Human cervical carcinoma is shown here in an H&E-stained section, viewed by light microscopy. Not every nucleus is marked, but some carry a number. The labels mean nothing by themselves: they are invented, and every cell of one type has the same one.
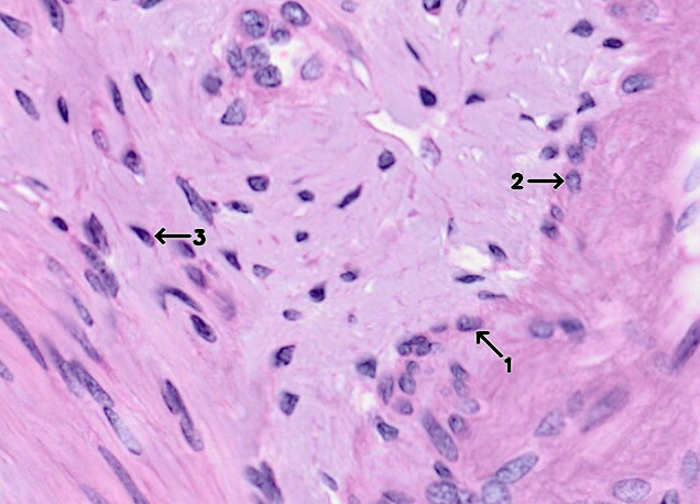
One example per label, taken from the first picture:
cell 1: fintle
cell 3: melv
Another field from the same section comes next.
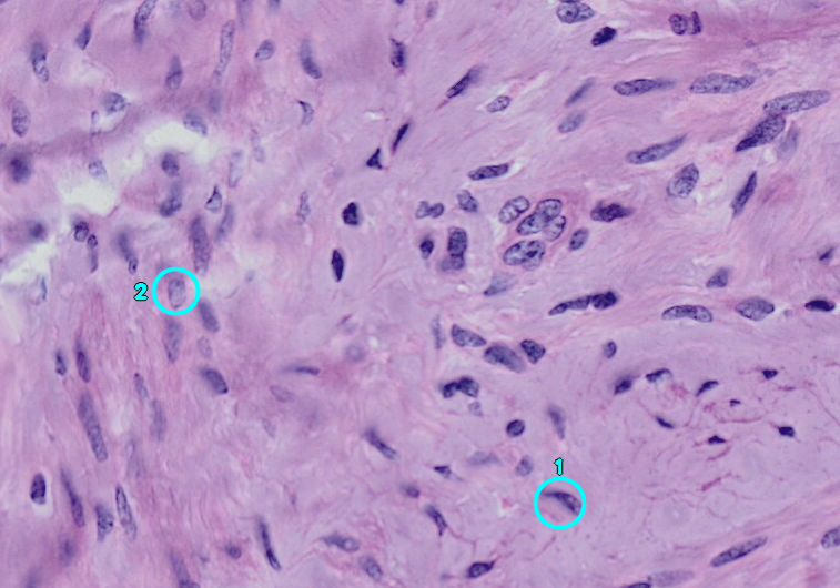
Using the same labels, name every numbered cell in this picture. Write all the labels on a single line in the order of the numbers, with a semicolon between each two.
melv; fintle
